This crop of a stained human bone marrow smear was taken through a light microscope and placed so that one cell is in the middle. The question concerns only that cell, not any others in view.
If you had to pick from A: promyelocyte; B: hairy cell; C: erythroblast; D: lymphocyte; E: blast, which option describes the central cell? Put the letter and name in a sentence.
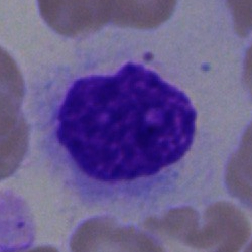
Of the options given, B is correct, the central cell being a hairy cell.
